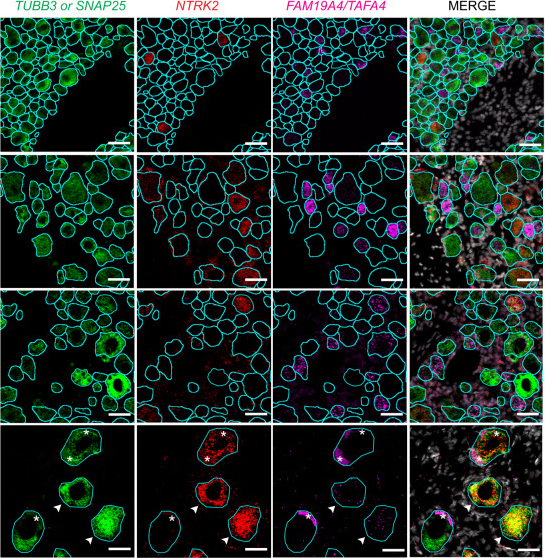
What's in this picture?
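The outlined cells vary in size within each section and are filled with green dots. Small grey nuclei of the surrounding cells lie in the spaces between the neurons. The neurons in the bottom row are much larger and lie farther apart than those in the top row.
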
